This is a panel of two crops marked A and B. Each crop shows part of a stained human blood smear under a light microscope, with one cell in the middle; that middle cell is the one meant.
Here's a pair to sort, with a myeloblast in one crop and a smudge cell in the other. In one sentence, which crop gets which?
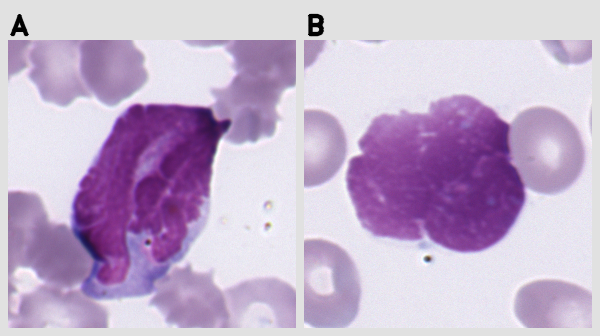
Displayed in crop A is a myeloblast, while crop B displays a smudge cell.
